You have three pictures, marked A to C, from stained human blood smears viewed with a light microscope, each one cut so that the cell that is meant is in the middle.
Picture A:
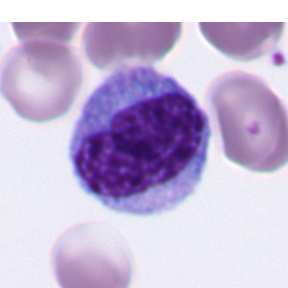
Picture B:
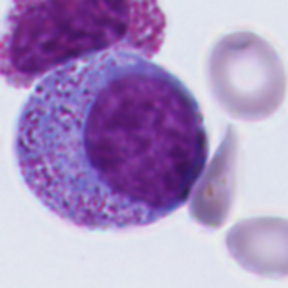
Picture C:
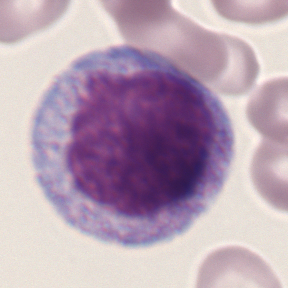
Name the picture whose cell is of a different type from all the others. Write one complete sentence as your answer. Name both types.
The different one is picture A; it shows a monocyte, whereas all the others show promyelocytes.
